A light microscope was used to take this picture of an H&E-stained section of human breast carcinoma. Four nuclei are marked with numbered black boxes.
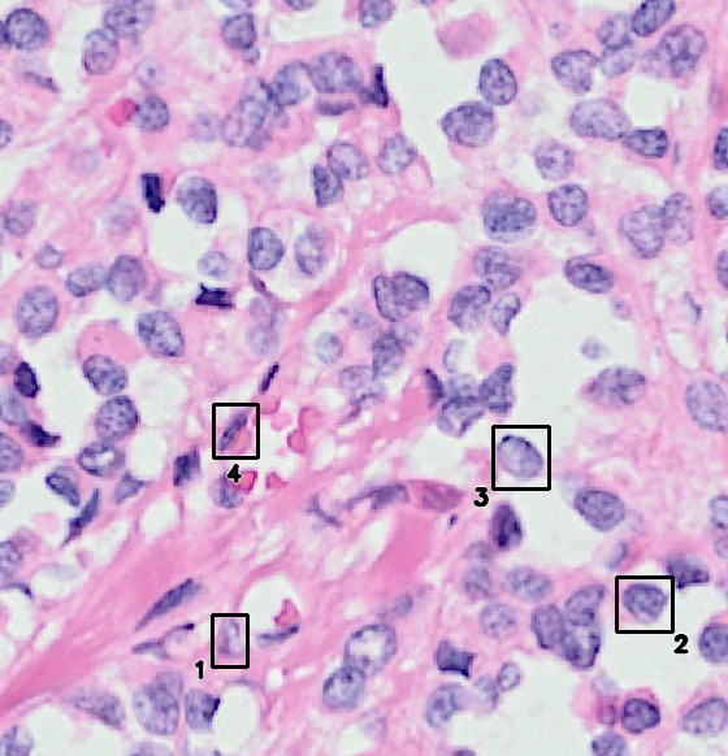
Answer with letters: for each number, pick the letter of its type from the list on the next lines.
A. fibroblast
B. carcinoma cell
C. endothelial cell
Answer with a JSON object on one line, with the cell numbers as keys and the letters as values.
{"1": "C", "2": "B", "3": "B", "4": "C"}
